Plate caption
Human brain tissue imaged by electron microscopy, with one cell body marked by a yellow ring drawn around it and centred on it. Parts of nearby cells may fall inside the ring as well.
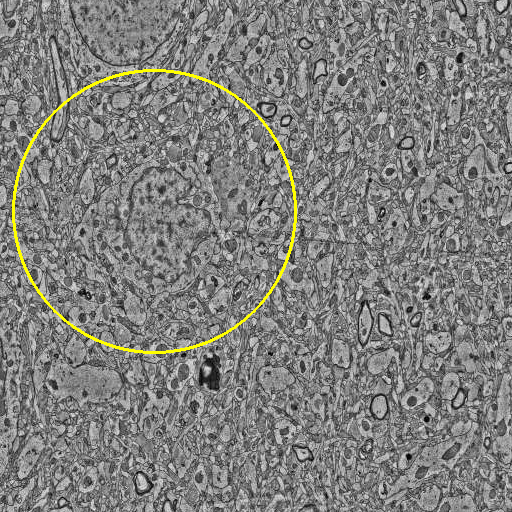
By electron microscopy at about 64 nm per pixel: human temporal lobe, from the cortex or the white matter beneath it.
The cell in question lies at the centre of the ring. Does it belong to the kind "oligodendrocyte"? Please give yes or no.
No, it belongs to another kind.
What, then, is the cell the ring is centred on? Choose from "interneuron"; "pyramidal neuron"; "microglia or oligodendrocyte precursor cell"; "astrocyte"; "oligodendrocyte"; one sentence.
What the ring encloses here is an interneuron.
